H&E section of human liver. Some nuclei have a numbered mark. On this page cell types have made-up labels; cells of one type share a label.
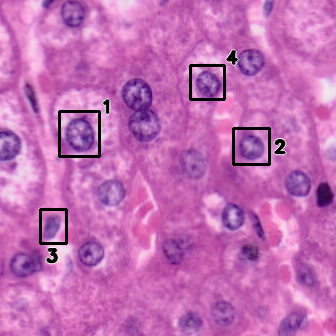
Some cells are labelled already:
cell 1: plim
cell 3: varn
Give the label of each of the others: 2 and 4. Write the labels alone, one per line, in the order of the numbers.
plim
plim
